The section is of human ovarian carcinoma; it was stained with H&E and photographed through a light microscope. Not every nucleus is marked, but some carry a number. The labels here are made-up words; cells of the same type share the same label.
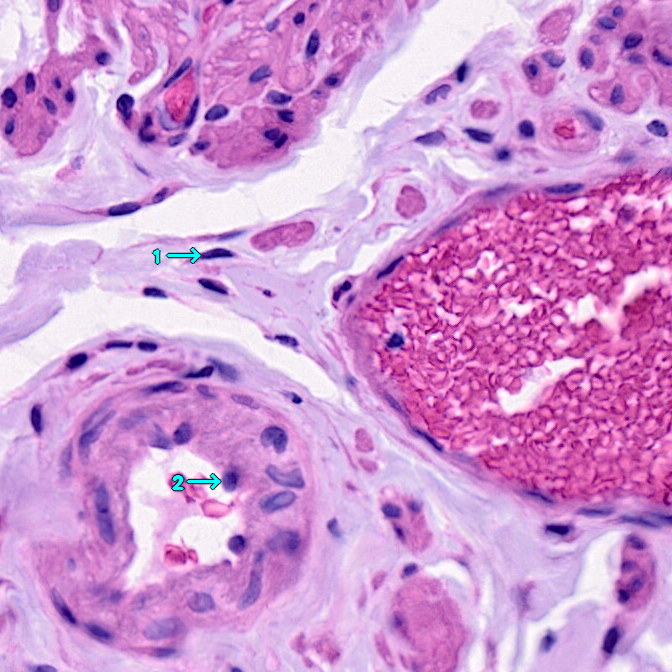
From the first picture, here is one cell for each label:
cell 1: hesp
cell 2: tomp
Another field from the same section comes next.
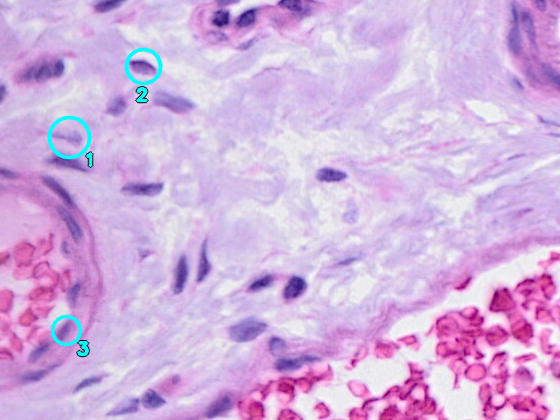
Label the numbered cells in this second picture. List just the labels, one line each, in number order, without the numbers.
hesp
hesp
tomp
